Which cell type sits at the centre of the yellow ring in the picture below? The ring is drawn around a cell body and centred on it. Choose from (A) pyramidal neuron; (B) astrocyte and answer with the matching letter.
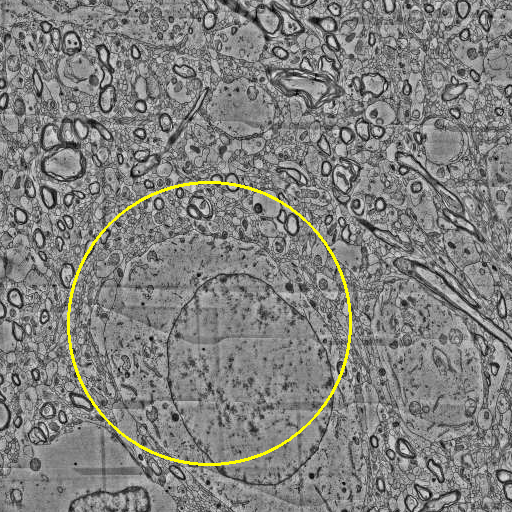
A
